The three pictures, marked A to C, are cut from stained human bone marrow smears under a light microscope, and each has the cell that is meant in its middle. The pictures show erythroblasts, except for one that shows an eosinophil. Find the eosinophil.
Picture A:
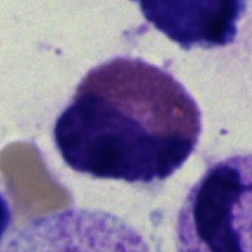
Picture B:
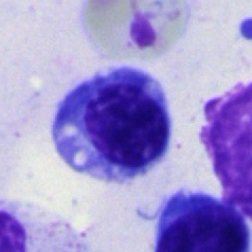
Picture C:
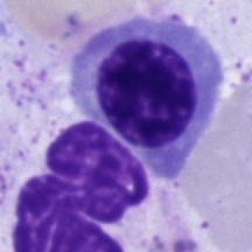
A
